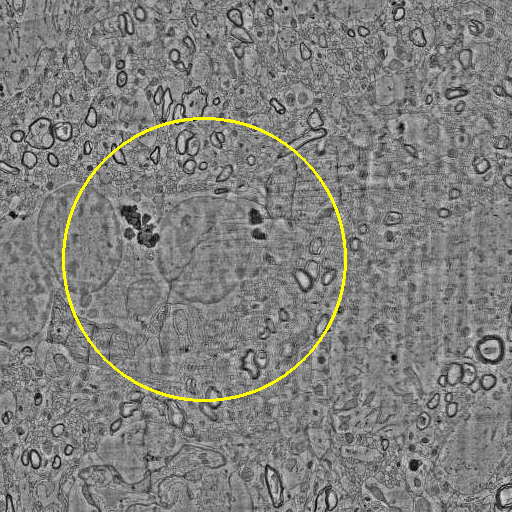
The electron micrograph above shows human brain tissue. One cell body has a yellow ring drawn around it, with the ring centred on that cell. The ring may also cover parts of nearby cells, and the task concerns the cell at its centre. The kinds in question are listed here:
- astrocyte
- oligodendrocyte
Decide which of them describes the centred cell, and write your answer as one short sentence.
The centred cell is an oligodendrocyte.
